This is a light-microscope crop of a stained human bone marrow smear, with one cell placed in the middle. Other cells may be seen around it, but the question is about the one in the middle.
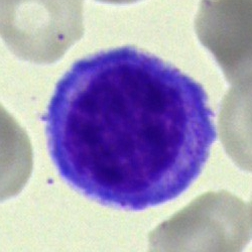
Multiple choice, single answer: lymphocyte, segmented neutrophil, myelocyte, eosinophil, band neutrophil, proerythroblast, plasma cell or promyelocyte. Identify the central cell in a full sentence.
To answer, the cell in the center of the crop is a promyelocyte.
